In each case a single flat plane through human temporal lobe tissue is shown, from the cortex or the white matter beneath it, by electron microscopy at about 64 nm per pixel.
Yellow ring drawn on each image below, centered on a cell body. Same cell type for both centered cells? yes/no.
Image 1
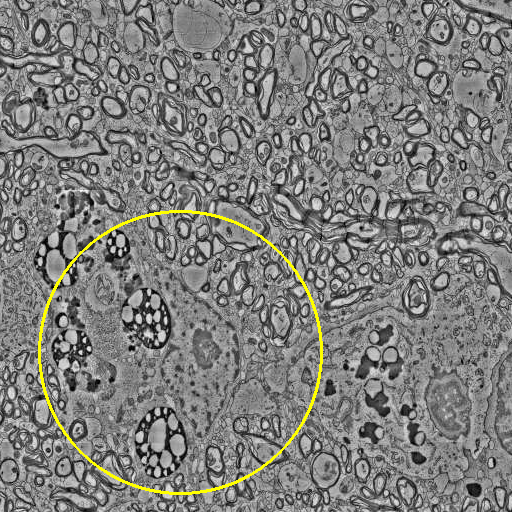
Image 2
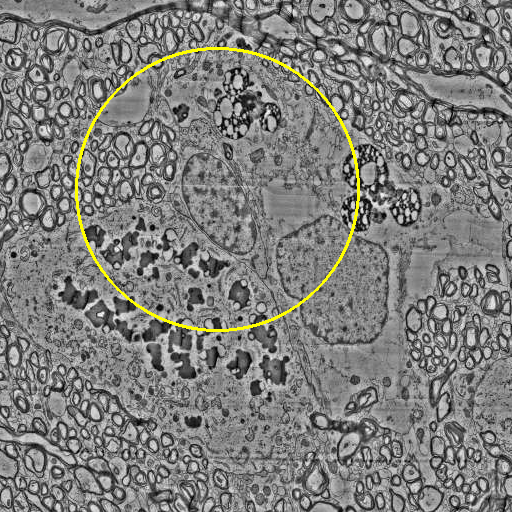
no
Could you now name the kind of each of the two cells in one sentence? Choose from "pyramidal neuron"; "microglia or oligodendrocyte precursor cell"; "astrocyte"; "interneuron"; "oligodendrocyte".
The first ring encloses an astrocyte; the second ring encloses a microglial cell or oligodendrocyte precursor cell.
